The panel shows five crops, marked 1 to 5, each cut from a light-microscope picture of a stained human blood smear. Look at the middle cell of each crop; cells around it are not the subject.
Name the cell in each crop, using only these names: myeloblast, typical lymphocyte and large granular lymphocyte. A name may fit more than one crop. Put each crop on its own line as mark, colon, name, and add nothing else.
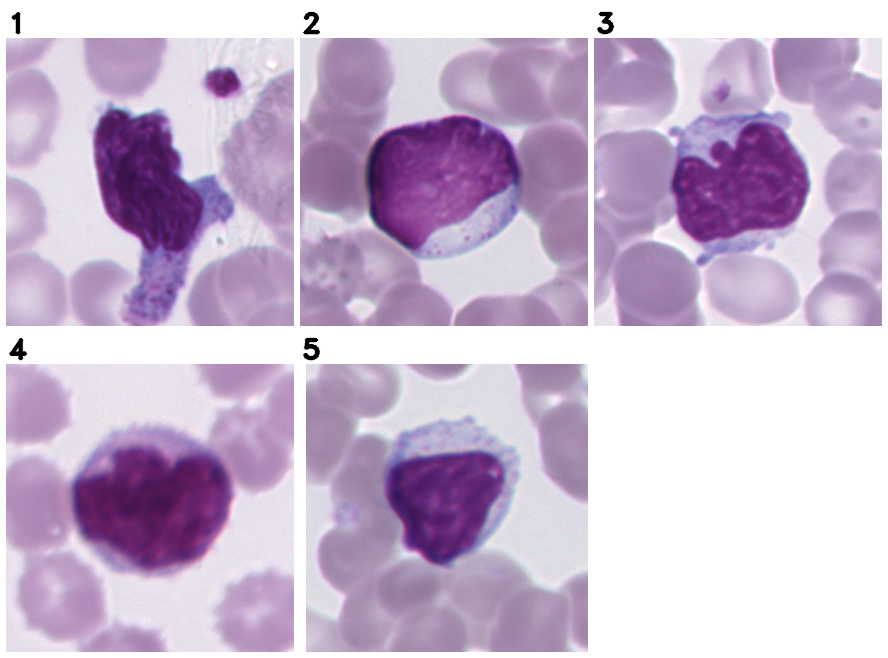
1: typical lymphocyte
2: large granular lymphocyte
3: typical lymphocyte
4: myeloblast
5: large granular lymphocyte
